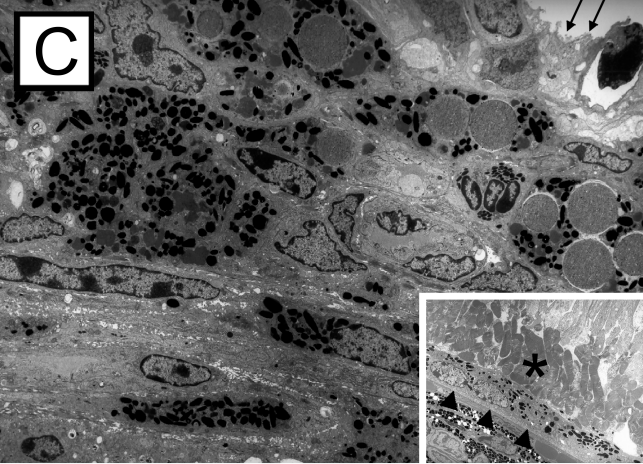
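This transmission electron micrograph shows a membrane made of fibroblasts, pigmented retinal pigment epithelial cells and non-pigmented epithelial cells. The pigmented cells are crowded with dense black granules and large round inclusions, while elongated fibroblasts with oval nuclei run in parallel layers below. The inset shows an orderly pigmented epithelial monolayer beneath rows of photoreceptor outer segments.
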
